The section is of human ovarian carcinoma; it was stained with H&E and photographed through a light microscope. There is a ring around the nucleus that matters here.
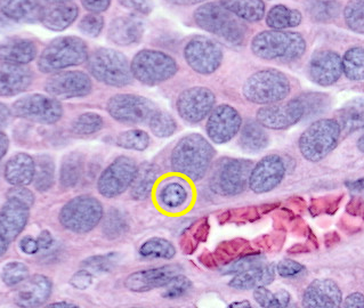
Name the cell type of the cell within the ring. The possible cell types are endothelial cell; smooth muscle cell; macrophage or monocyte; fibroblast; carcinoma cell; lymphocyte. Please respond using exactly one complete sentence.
By cell type, the cell within the ring is a macrophage or monocyte.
